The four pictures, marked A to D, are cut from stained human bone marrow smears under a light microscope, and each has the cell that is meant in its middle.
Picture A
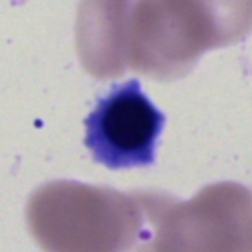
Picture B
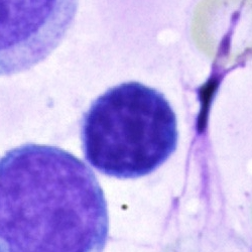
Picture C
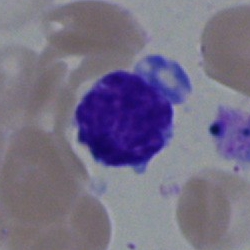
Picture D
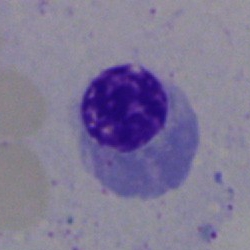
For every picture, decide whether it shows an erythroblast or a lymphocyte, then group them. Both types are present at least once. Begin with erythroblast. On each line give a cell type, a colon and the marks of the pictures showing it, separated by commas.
erythroblast: A, D
lymphocyte: B, C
